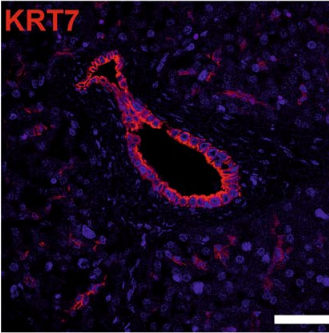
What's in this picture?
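A curved tube with an open lumen is lined by a single layer of cuboidal cells whose cytoplasm is strongly red, with blue nuclei along the wall. The surrounding cells are larger, rounder and largely unstained, showing only blue nuclei, though a few scattered small red cells and strands lie among them. A thin rim of flattened nuclei surrounds the tube.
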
